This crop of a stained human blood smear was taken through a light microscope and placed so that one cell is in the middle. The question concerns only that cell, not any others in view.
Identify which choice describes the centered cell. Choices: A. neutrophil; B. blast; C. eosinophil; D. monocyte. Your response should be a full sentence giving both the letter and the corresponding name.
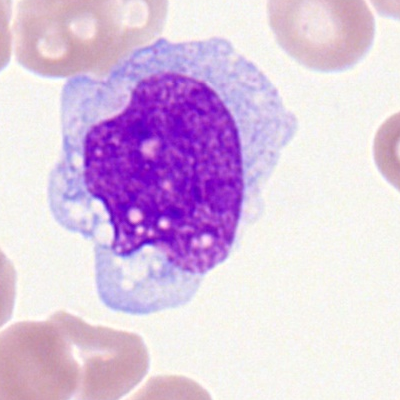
In this crop the middle cell is a monocyte, so option D is the correct answer.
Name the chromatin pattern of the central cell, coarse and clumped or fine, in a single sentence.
The chromatin is fine throughout, without coarse clumps.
